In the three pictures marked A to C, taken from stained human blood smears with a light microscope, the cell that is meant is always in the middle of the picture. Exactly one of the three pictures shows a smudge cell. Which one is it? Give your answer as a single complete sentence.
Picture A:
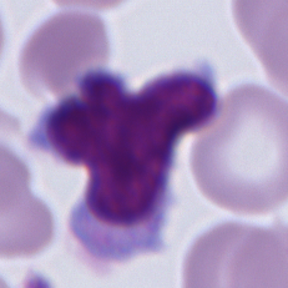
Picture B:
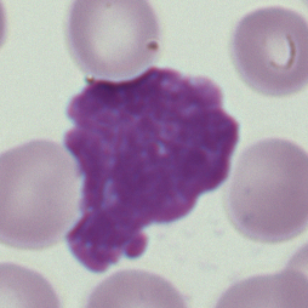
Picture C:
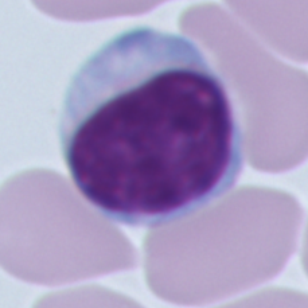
Picture B is the one that shows the smudge cell.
